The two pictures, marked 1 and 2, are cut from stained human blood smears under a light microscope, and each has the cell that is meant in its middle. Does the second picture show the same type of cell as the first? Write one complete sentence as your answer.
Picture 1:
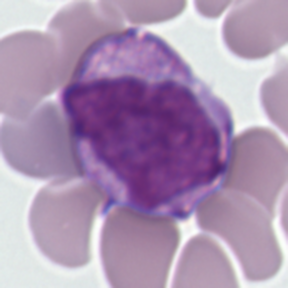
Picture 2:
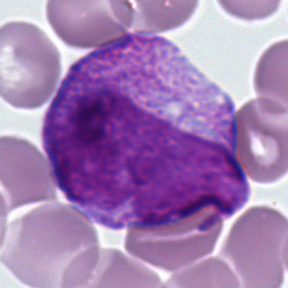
Yes, both are atypical promyelocytes.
